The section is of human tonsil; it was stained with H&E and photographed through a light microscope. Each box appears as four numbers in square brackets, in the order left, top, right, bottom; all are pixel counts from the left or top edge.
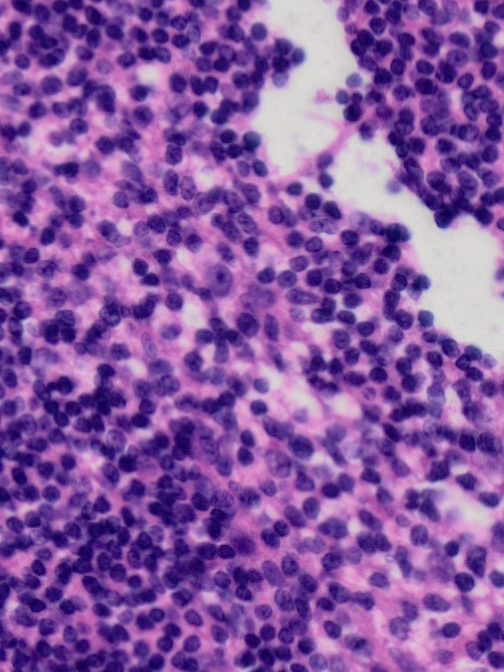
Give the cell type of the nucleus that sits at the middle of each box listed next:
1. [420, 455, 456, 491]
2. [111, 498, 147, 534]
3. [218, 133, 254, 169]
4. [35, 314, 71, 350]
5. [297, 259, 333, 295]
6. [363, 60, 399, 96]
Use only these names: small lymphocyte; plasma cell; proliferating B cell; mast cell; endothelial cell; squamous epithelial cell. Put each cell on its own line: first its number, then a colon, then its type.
1: proliferating B cell
2: small lymphocyte
3: small lymphocyte
4: proliferating B cell
5: small lymphocyte
6: small lymphocyte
